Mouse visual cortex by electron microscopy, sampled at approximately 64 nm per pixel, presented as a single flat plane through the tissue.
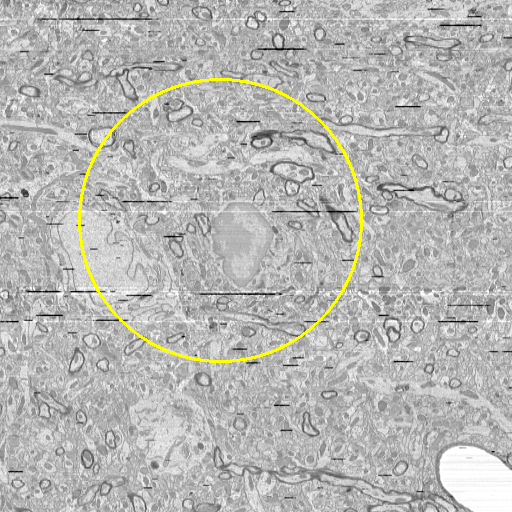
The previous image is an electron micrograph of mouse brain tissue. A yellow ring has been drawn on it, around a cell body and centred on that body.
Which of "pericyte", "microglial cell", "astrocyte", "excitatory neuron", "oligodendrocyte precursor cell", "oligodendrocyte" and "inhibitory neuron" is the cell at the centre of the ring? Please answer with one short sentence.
The cell body at the centre of the ring belongs to a microglial cell.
